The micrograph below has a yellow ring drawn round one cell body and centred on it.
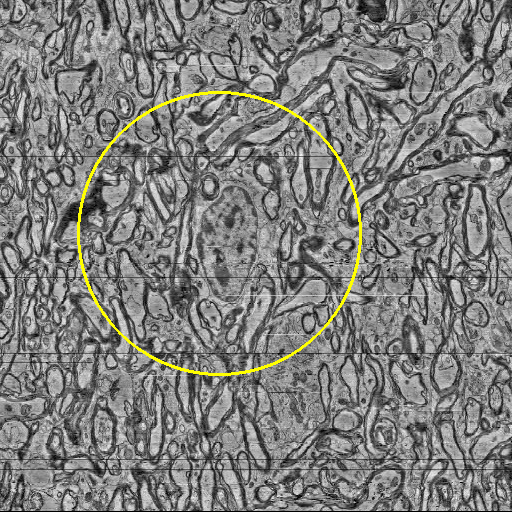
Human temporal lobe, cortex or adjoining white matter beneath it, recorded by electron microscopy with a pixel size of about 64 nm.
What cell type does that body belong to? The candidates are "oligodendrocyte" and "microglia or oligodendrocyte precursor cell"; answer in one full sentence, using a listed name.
This is a microglial cell or oligodendrocyte precursor cell, the cell whose body lies at the centre of the ring.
